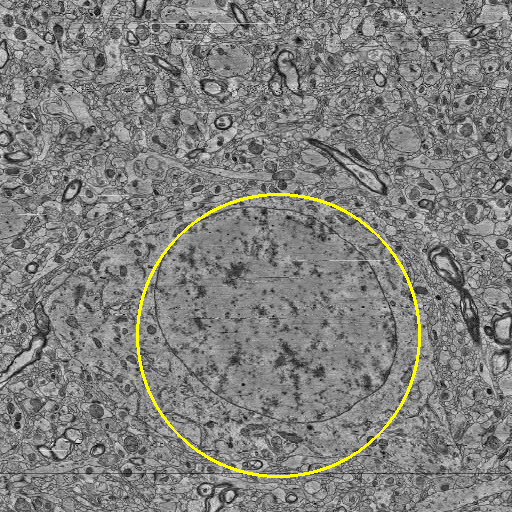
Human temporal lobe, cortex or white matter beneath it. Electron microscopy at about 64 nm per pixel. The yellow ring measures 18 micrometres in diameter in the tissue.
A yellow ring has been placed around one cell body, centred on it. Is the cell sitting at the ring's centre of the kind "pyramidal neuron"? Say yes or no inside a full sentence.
Yes, the cell sitting at the centre of the yellow ring is of that kind.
